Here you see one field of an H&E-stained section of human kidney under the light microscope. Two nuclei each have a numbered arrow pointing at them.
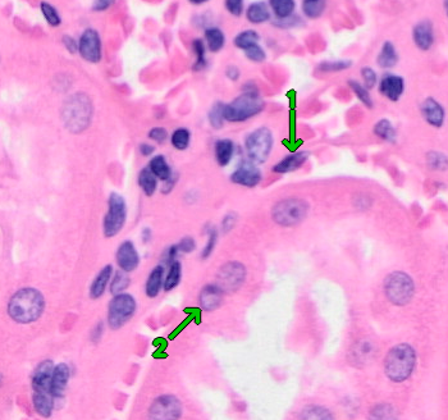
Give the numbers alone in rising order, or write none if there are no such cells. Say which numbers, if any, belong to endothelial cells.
1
